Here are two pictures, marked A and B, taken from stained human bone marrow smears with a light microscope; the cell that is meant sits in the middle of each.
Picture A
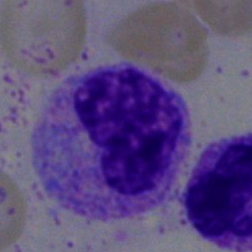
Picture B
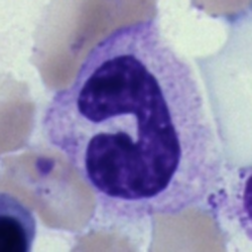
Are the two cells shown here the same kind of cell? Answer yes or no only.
no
